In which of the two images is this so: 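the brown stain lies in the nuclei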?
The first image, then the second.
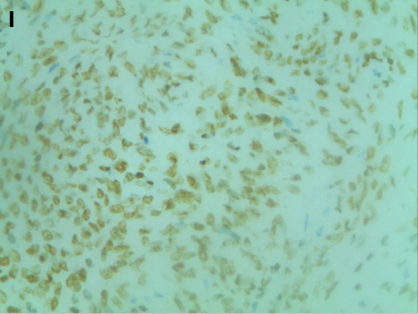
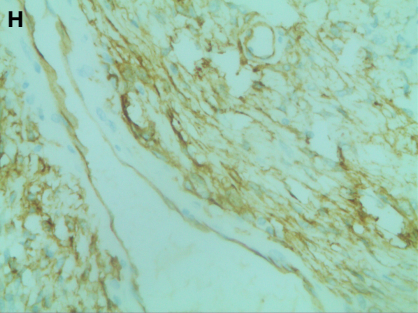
the first image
